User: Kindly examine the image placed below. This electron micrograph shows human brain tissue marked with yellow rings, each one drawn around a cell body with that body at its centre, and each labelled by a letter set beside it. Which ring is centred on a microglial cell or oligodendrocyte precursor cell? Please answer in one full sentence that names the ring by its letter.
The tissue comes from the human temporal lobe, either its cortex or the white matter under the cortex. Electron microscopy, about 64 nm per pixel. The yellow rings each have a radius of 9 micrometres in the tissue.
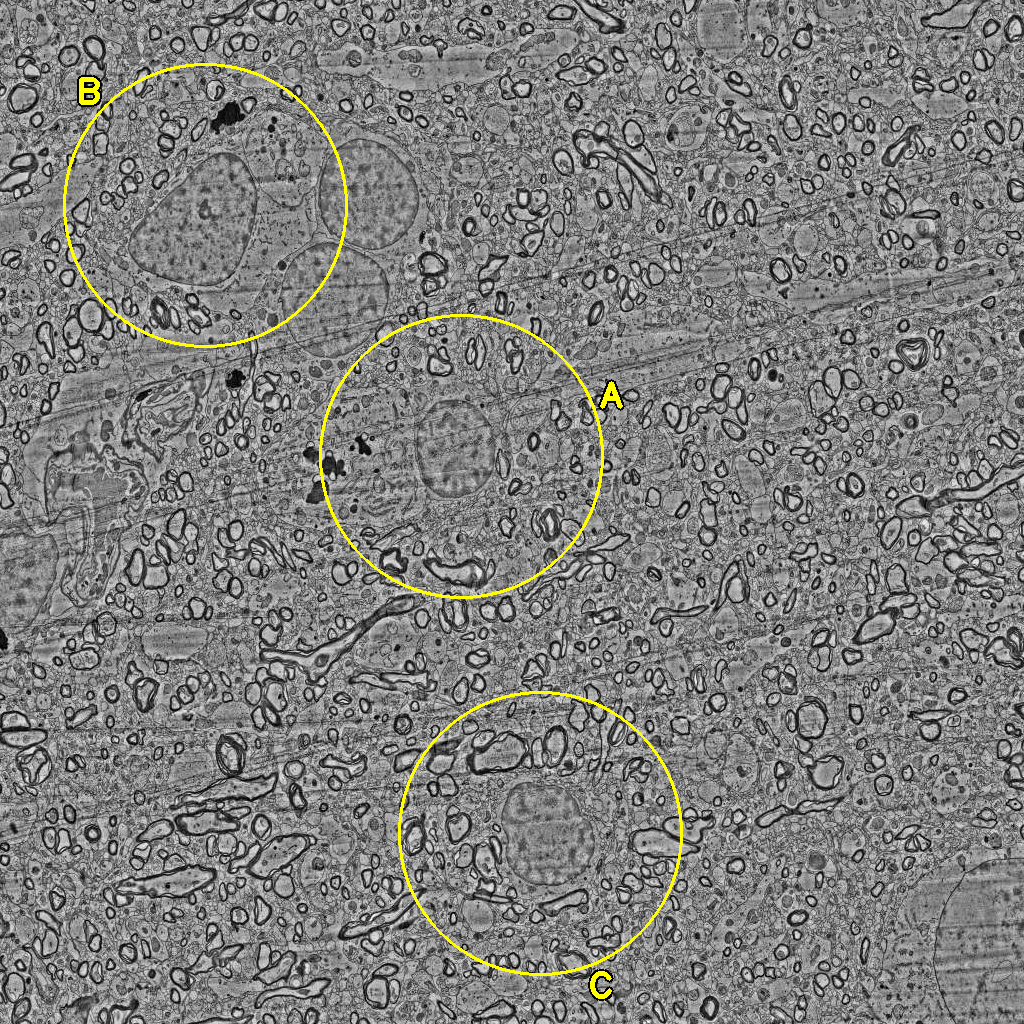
Ring B is the one drawn around the cell asked for.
